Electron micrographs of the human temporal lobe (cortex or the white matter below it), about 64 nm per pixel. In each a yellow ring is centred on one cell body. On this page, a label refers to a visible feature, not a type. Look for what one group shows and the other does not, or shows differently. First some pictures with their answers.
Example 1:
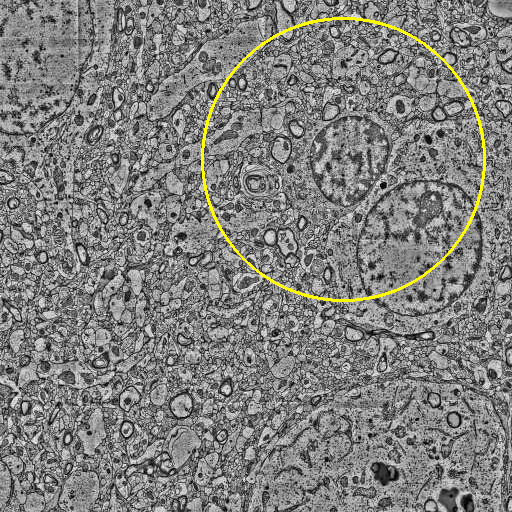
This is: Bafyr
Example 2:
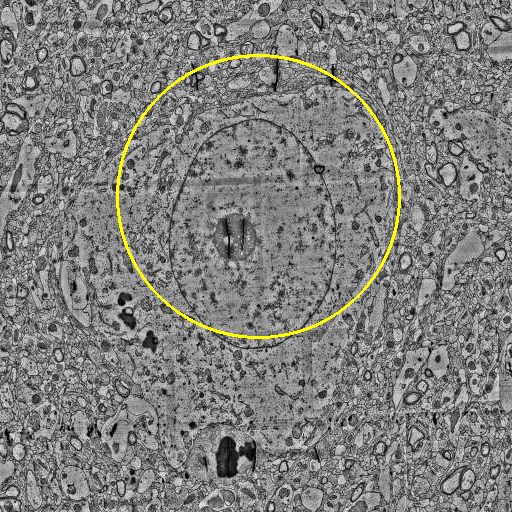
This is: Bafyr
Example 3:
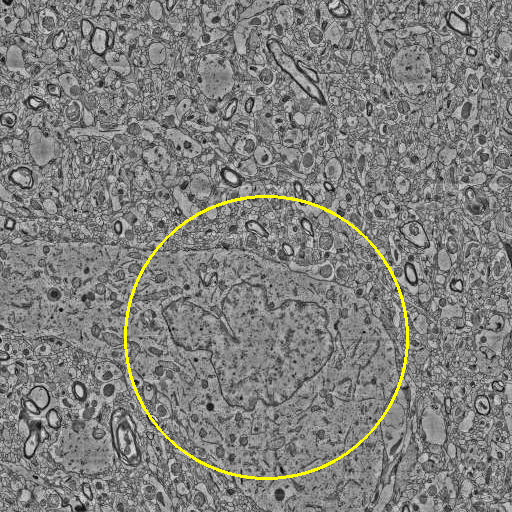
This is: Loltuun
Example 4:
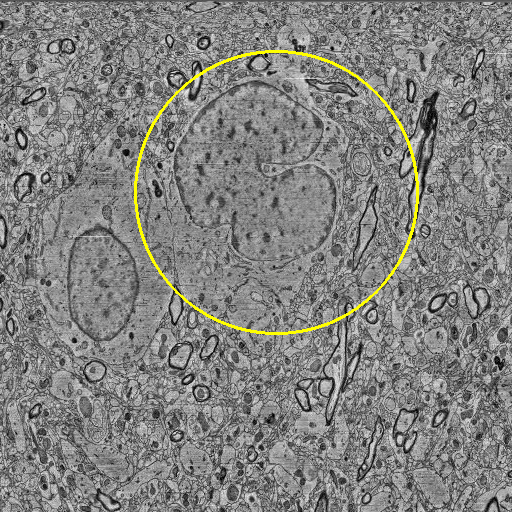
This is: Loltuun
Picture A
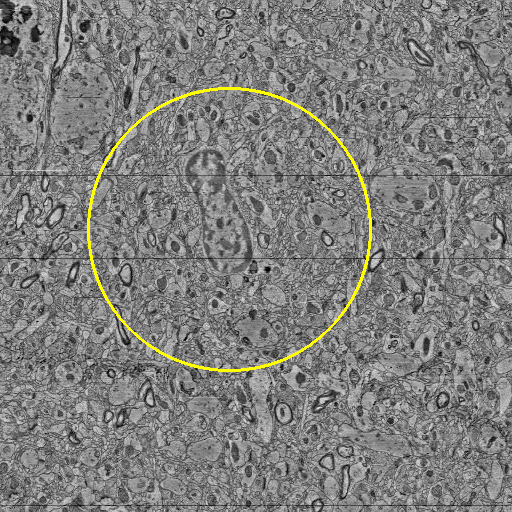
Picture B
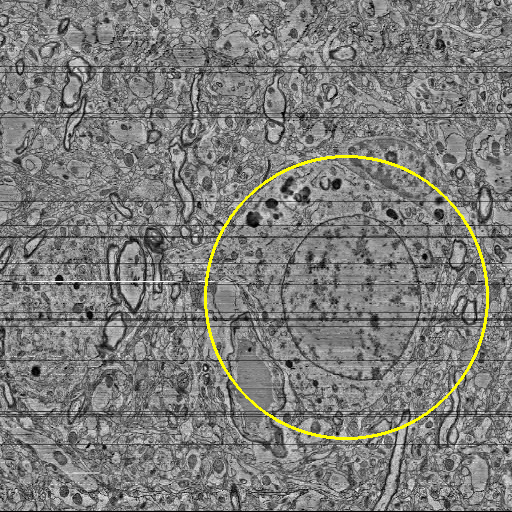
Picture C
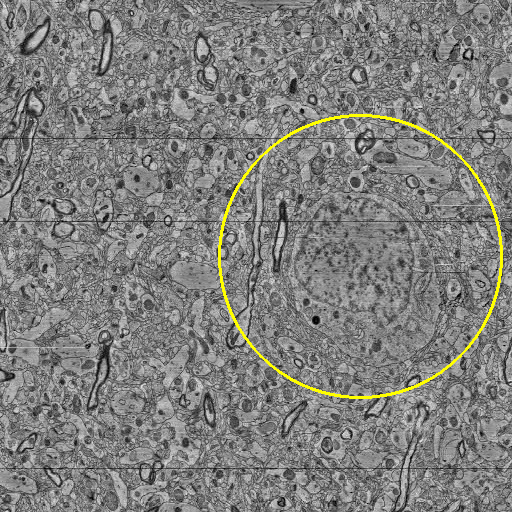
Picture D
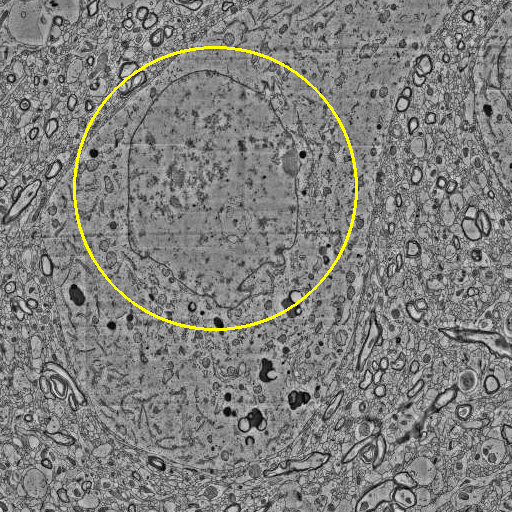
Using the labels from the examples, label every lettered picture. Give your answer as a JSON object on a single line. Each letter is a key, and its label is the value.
{"A": "Loltuun", "B": "Bafyr", "C": "Bafyr", "D": "Loltuun"}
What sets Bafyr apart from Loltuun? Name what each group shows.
Bafyr, smooth nuclear envelopes without deep folds; Loltuun, deeply folded or indented nuclear envelopes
